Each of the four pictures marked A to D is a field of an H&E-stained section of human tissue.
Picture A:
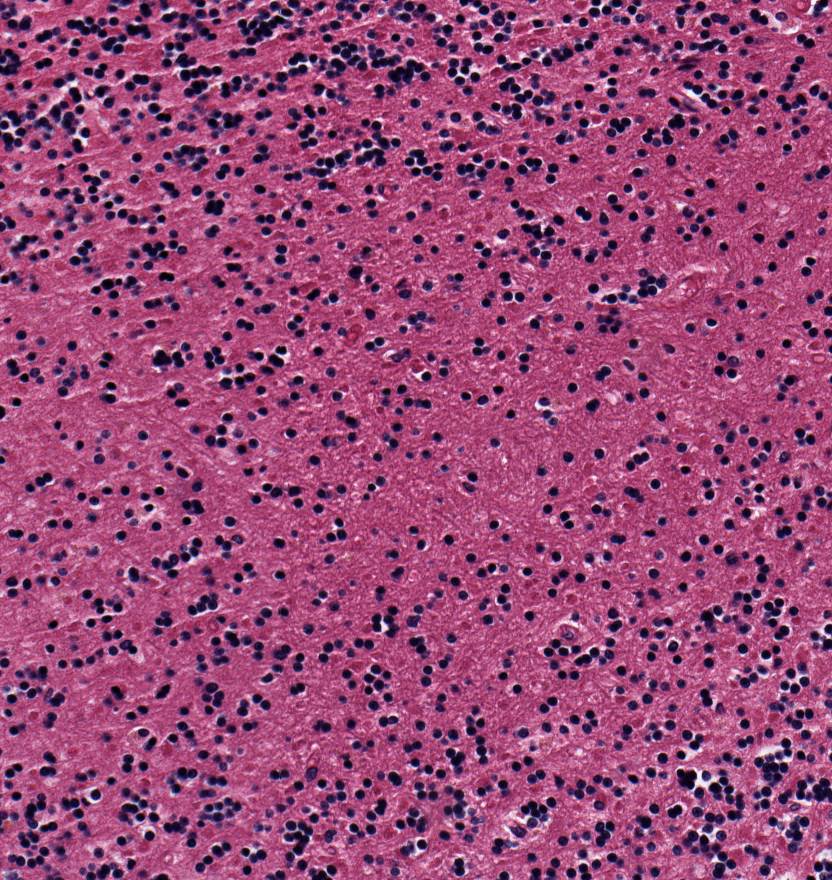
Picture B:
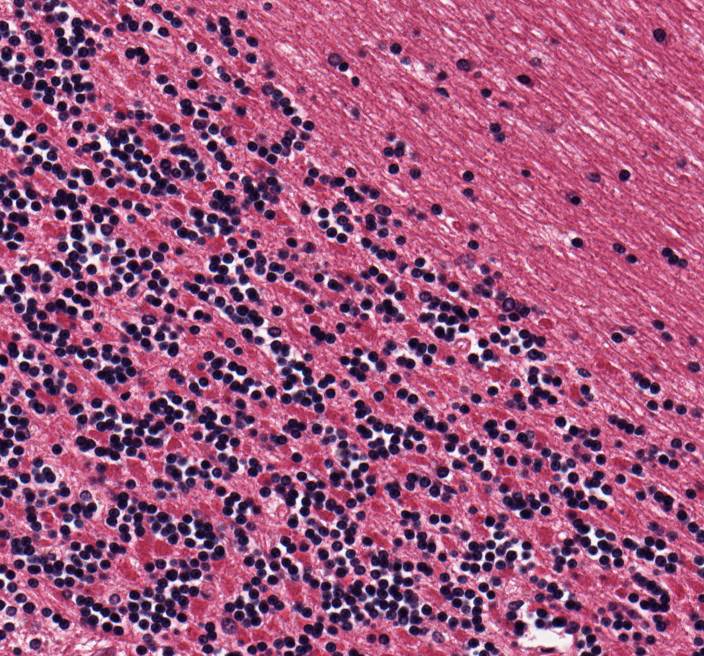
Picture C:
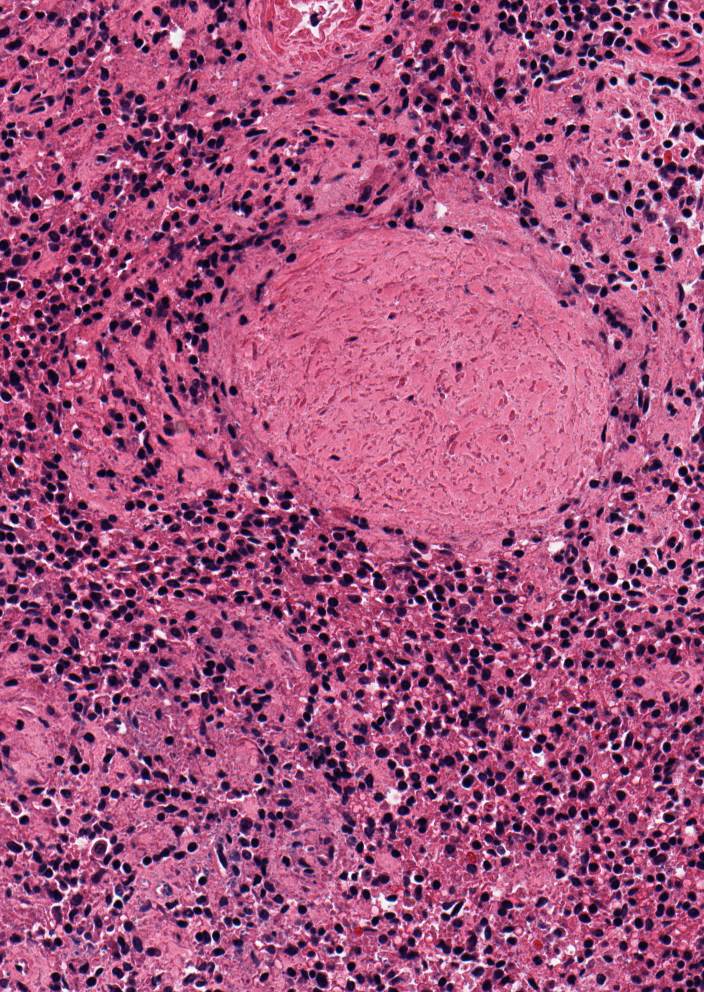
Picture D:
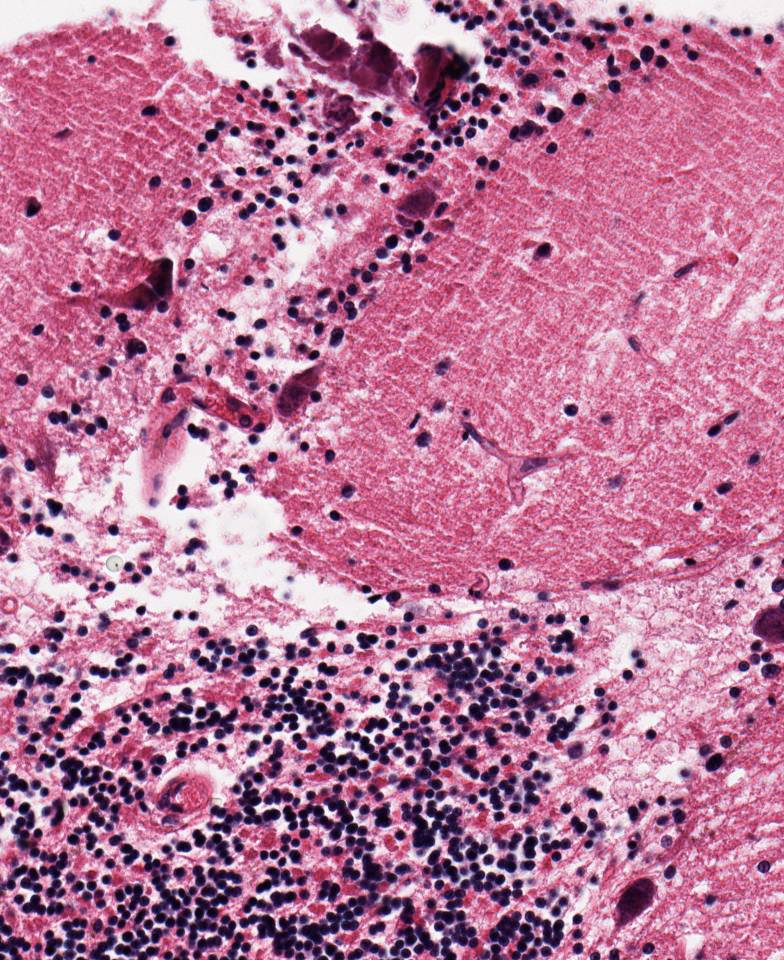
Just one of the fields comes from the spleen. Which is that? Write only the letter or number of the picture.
C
